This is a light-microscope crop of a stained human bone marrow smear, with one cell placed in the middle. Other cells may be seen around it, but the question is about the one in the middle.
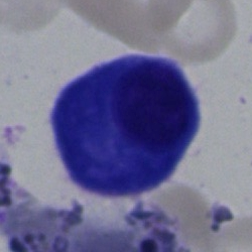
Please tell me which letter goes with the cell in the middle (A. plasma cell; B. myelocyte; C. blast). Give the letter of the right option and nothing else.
A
